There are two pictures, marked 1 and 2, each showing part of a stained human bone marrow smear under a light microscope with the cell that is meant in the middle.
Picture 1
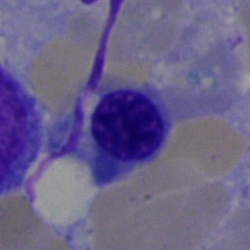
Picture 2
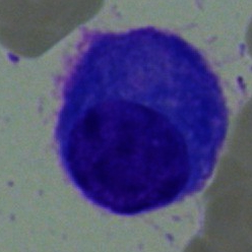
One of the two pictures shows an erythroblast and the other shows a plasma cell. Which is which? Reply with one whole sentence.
It is picture 1 that shows an erythroblast, and picture 2 that shows a plasma cell.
